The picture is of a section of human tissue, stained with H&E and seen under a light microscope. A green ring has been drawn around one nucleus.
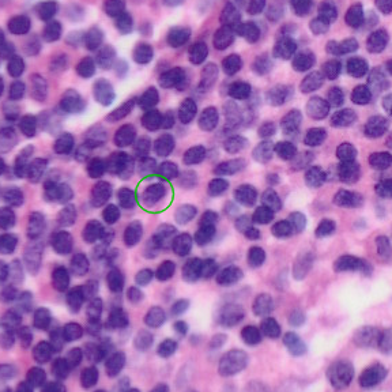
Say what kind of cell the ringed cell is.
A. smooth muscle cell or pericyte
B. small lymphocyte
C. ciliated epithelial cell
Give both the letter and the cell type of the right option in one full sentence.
As stated in option B, the ringed cell is a small lymphocyte.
